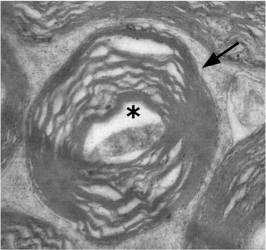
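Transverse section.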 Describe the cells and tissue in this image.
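The layers are not tightly packed: pale clefts separate them, and they curve and fold irregularly around a pale central core marked by an asterisk. An arrow points at its outer rim, where the lamellae are thicker and denser. The concentric, loosened whorl of membranes is a lamellar membranous body, a sign of myelin breakdown and disorganization.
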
